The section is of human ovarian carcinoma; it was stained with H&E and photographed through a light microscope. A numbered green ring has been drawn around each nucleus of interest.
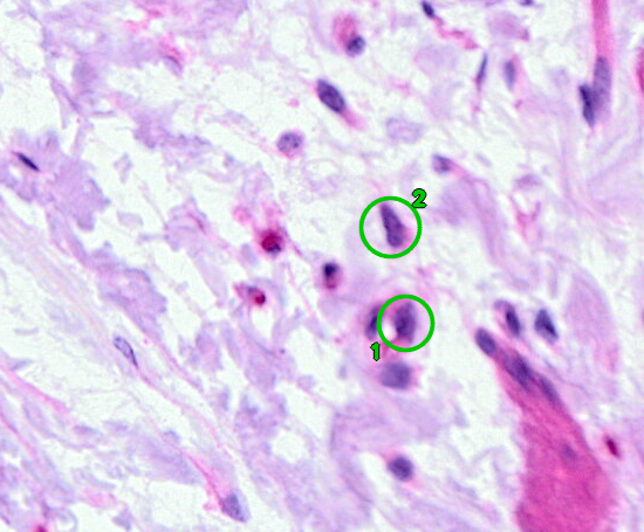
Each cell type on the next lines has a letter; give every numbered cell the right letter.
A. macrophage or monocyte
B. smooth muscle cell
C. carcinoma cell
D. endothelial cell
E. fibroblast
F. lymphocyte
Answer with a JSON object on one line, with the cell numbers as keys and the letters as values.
{"1": "D", "2": "E"}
